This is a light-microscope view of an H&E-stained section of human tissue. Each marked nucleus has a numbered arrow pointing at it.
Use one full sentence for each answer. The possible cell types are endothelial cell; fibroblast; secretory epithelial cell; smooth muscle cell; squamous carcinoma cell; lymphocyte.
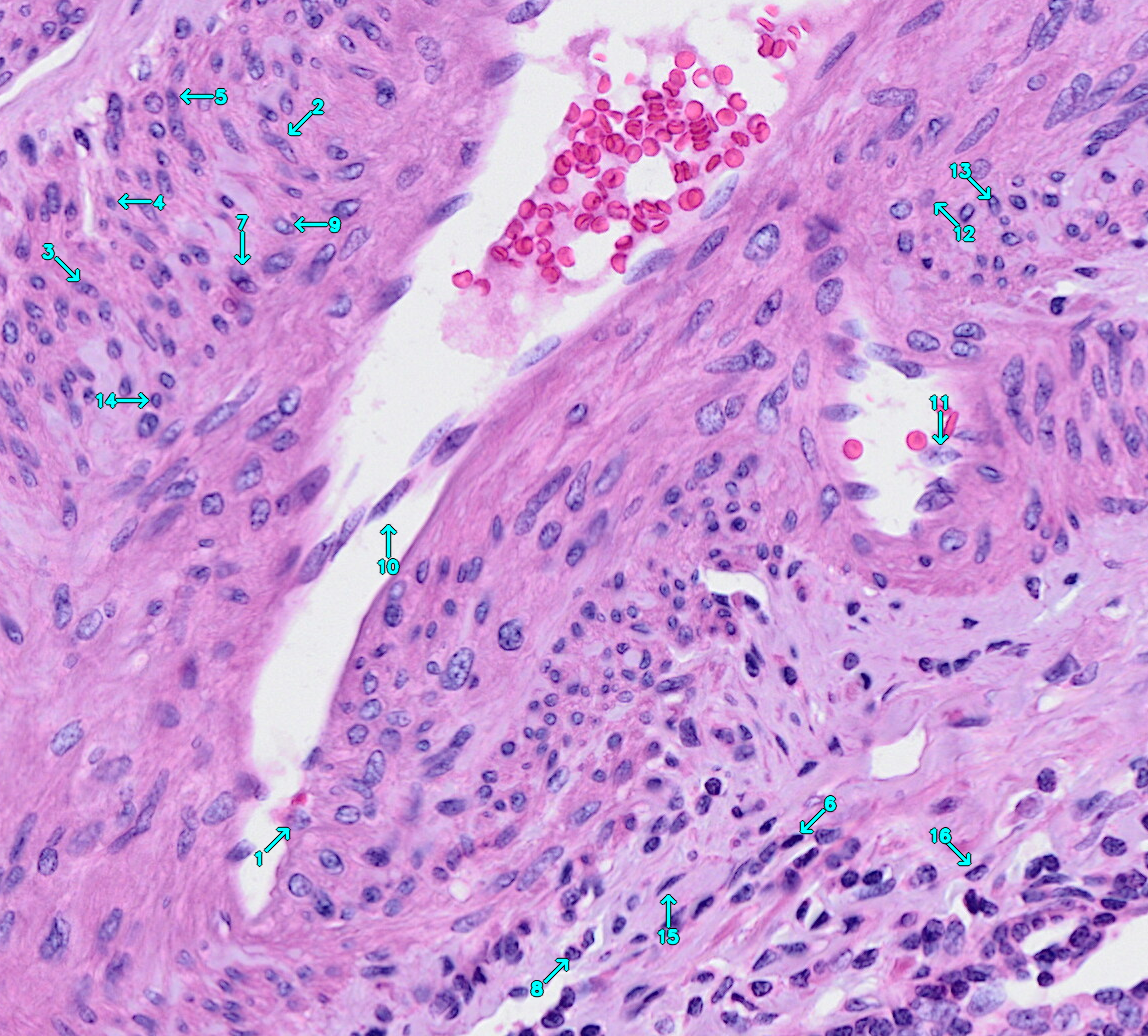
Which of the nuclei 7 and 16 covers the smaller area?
Nucleus 16 covers less area, with nucleus 7 about 2 times as large.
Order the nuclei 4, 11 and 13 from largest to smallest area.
From largest to smallest, the order is 11, 13, 4.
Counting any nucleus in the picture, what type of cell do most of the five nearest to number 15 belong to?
Lymphocytes make up most of the five nuclei closest to number 15.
